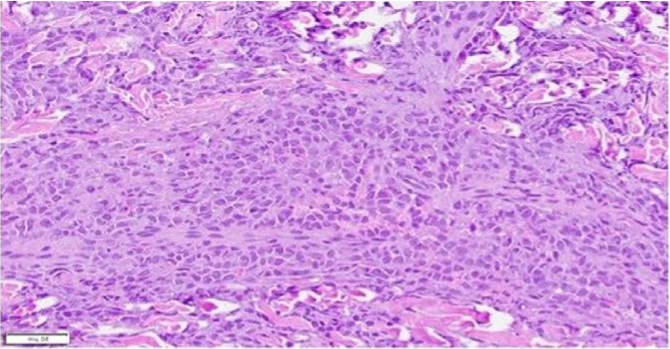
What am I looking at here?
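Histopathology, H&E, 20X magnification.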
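A dense, crowded sheet of cells with large, dark purple, irregular nuclei and scant pale cytoplasm fills the middle of the field. In places the cells run in streams, and they spread outward between pink, wavy bundles of fibrous connective tissue at the top and bottom. The nuclei differ noticeably in size and shape, and little normal tissue is left among the cells.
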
